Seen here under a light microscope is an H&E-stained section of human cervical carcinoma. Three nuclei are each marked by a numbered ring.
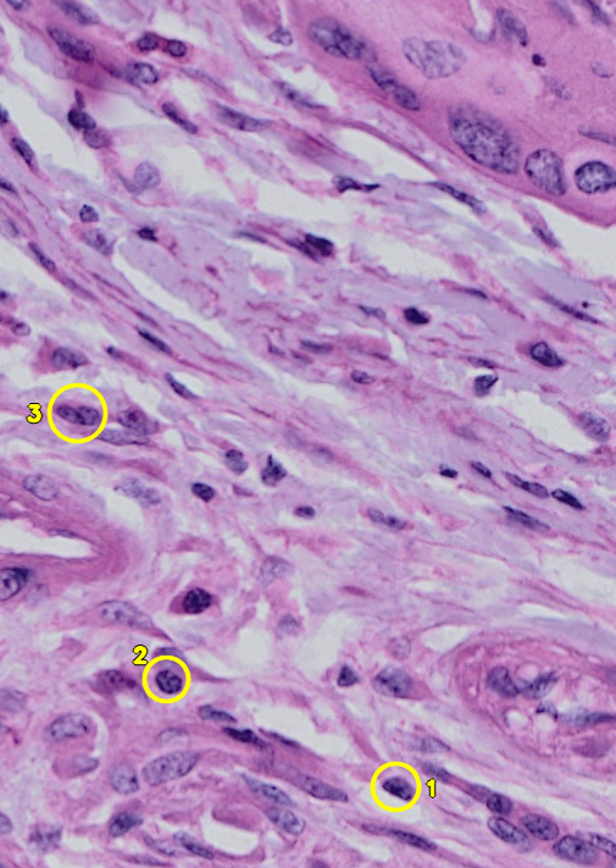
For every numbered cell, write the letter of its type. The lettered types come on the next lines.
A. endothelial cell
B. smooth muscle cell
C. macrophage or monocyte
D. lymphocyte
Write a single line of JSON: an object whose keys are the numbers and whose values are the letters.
{"1": "D", "2": "D", "3": "C"}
